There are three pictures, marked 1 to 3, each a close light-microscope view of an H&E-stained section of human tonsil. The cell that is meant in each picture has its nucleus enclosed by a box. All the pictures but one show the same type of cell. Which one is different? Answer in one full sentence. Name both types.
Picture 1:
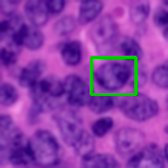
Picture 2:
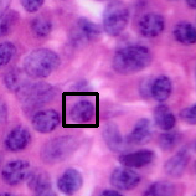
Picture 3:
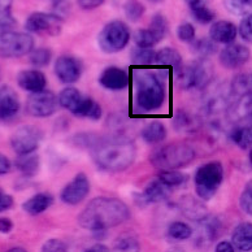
Picture 2 differs, because its cell is a plasma cell and the rest are proliferating B cells.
